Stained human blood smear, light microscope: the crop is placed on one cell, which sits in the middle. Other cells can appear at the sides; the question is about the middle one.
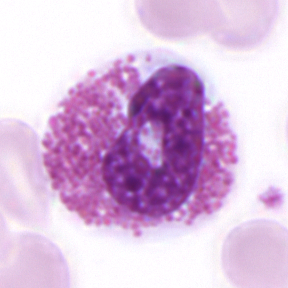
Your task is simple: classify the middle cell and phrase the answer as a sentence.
The middle of this crop is occupied by an eosinophil.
